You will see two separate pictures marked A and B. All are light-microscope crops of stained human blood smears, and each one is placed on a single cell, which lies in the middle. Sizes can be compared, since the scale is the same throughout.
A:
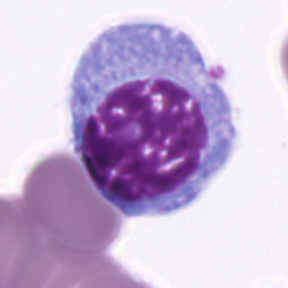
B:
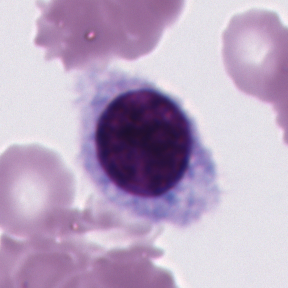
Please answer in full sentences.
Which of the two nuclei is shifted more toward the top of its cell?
In crop B the nucleus is shifted more toward the top.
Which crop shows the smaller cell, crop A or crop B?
It is the cell in crop B; the cell in crop A has about 1.5 times its area.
